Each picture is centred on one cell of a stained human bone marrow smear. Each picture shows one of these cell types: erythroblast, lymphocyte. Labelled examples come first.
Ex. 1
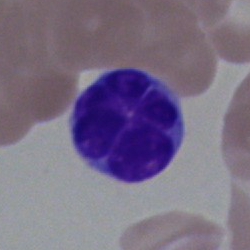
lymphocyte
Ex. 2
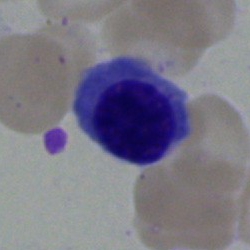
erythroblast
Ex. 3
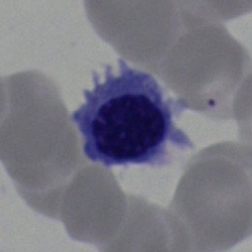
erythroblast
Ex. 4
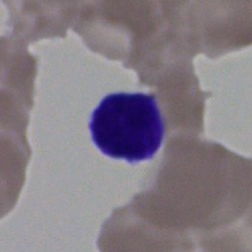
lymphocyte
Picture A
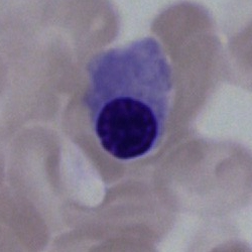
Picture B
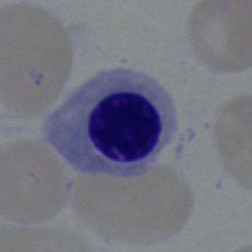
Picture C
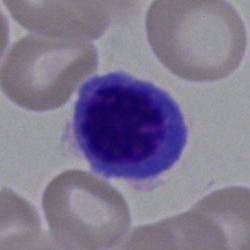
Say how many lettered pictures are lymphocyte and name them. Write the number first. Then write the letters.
0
